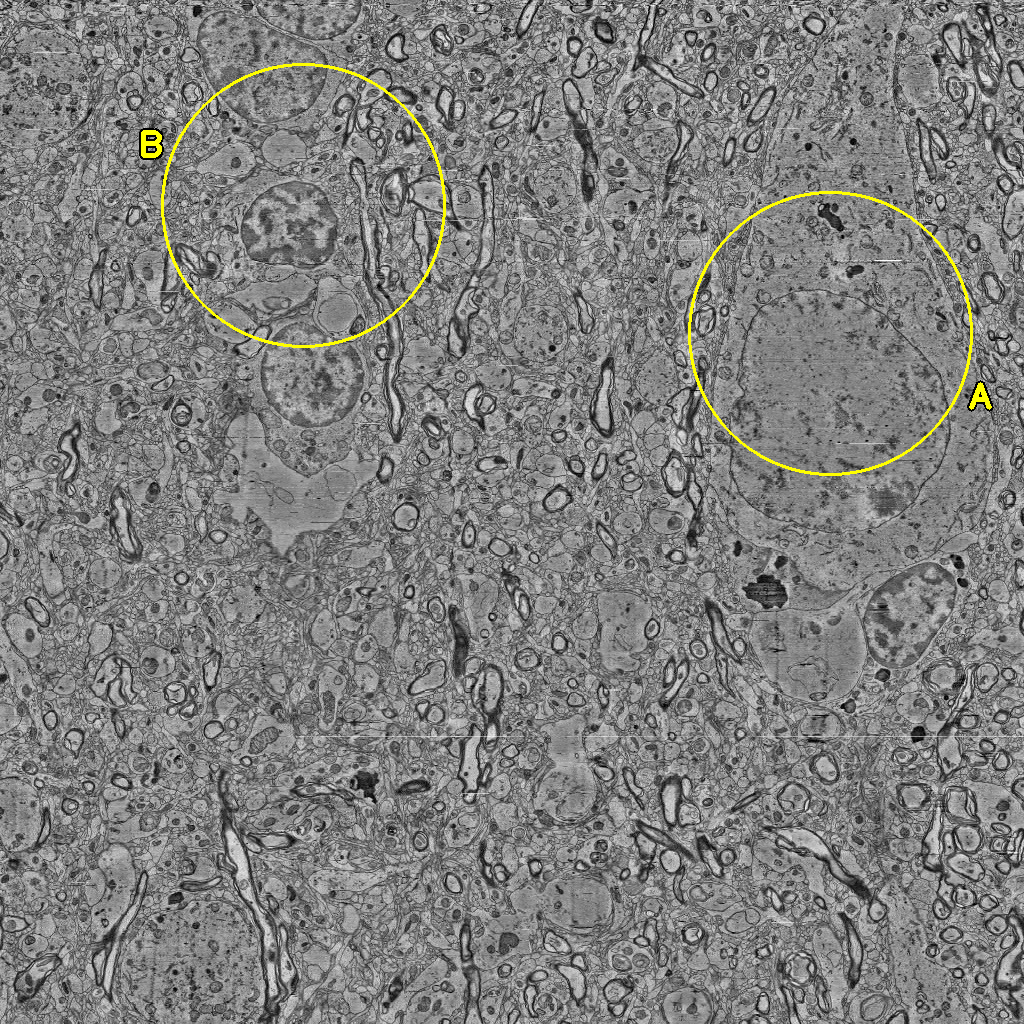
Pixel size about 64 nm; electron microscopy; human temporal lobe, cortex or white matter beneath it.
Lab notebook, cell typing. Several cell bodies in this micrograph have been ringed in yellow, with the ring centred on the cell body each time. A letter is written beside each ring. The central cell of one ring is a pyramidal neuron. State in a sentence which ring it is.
It is ring A.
